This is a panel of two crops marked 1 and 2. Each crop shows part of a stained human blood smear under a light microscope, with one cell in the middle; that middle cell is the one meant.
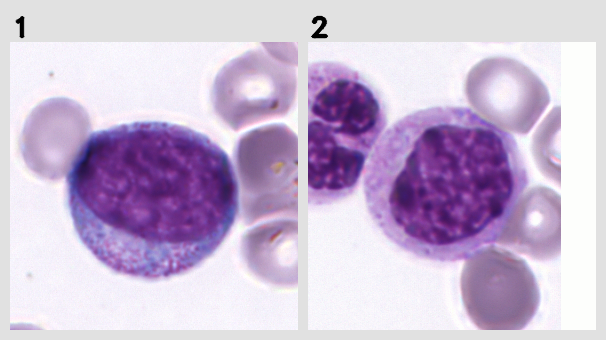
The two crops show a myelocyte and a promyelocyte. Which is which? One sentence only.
Crop 1 is a promyelocyte, whereas a myelocyte is found in crop 2.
